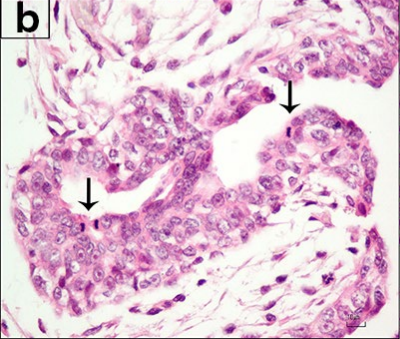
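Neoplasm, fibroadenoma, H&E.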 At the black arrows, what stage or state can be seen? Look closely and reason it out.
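The arrows point to small, dense, dark purple condensed chromatin bodies. These lie at the luminal edge of the lining cells, unlike the paler round nuclei around them.
Hence: Mitotic figures.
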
